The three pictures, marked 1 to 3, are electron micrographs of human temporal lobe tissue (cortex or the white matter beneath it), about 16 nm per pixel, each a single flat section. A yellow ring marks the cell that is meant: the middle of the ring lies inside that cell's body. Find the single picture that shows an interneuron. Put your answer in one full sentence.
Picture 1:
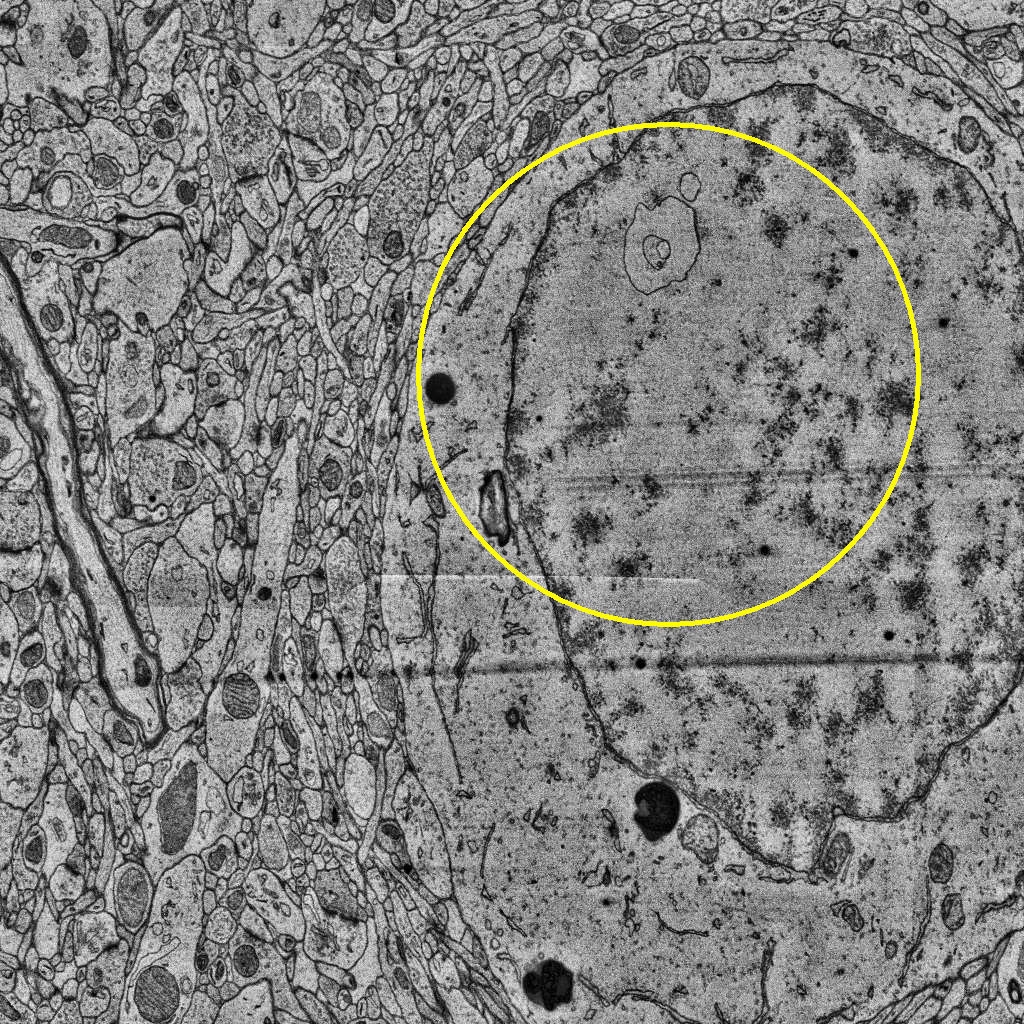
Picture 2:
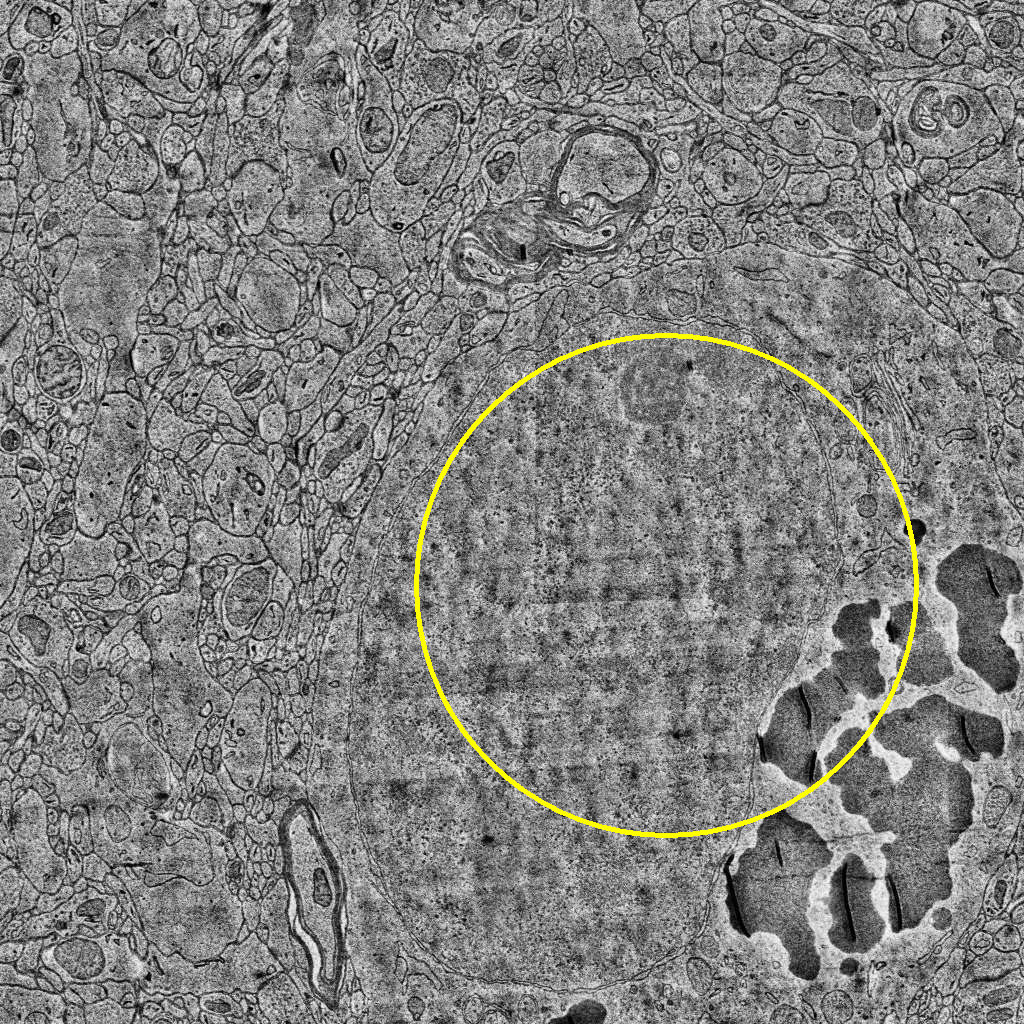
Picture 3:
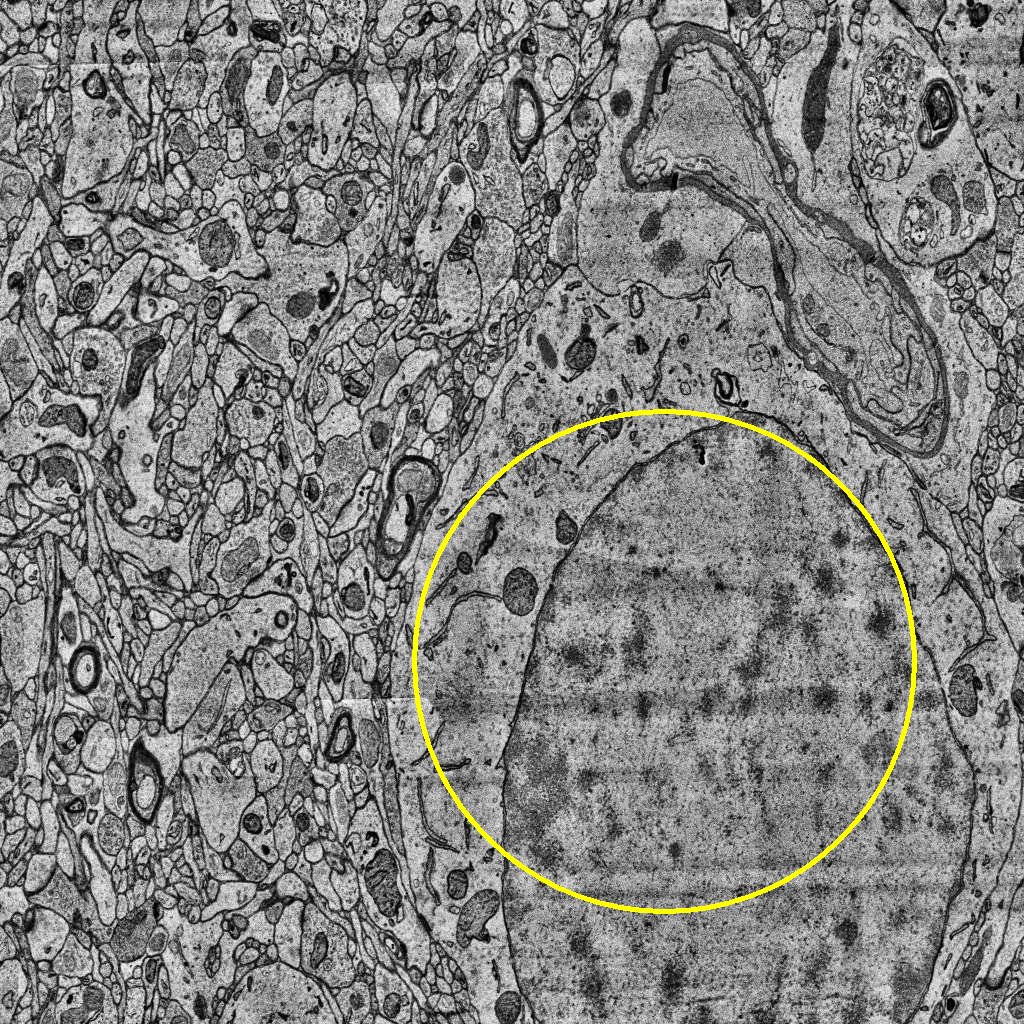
It is picture 2 that shows the interneuron.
